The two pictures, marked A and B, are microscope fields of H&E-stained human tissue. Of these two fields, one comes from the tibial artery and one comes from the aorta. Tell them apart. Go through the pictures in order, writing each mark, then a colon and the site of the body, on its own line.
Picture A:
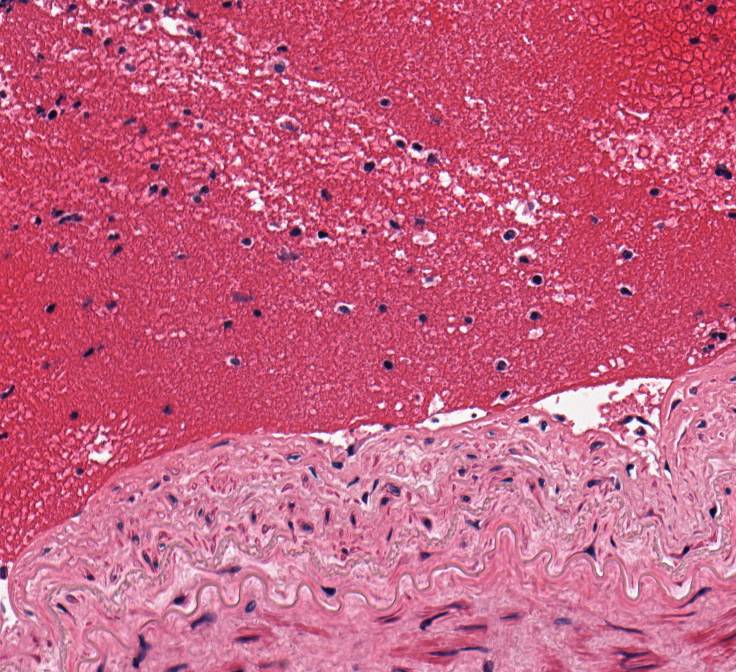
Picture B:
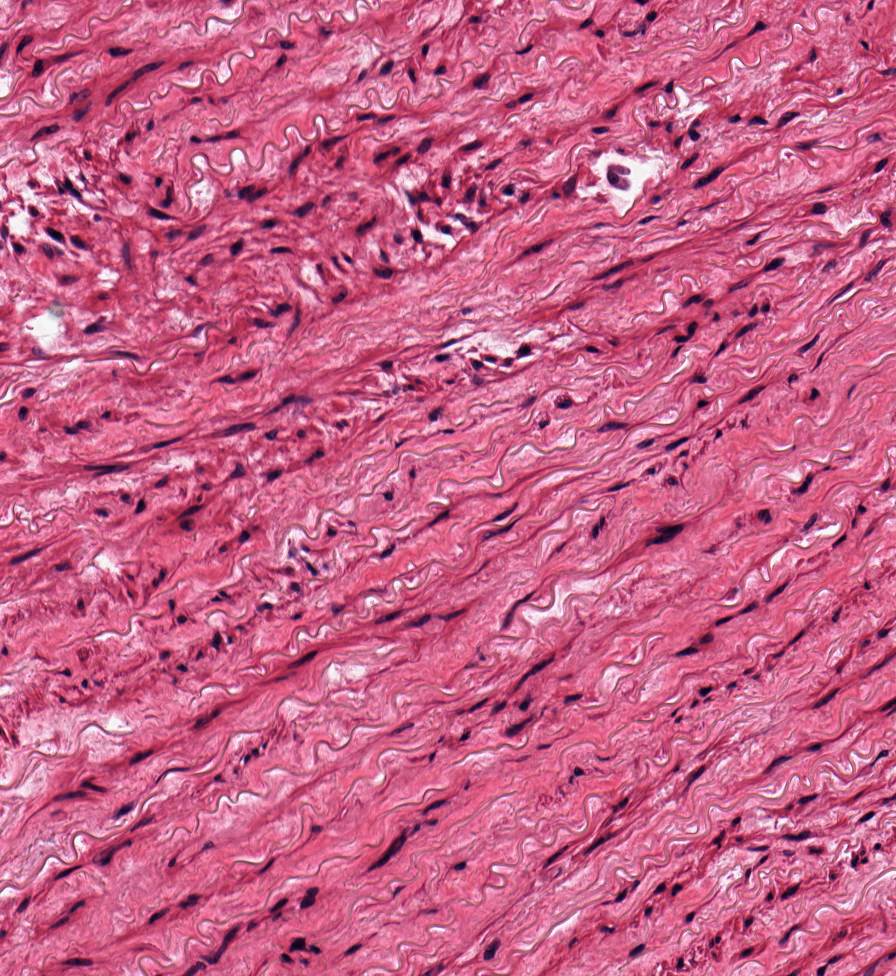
A: tibial artery
B: aorta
